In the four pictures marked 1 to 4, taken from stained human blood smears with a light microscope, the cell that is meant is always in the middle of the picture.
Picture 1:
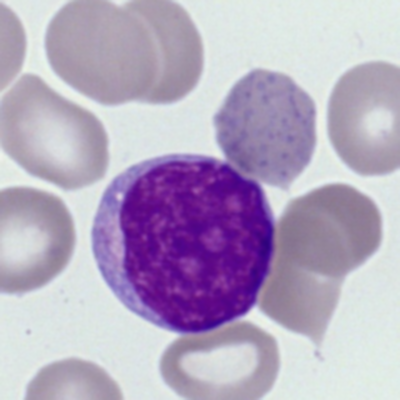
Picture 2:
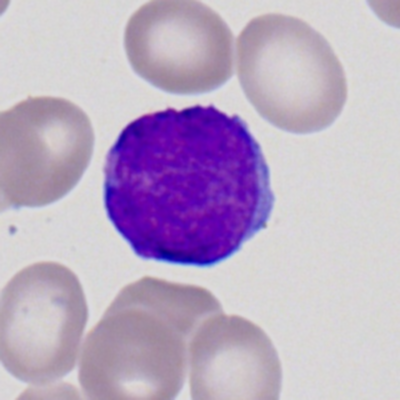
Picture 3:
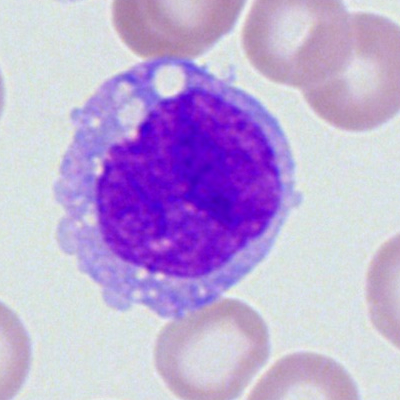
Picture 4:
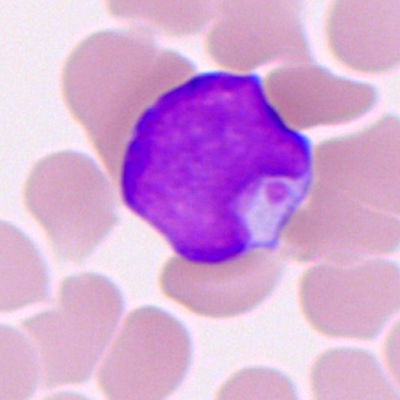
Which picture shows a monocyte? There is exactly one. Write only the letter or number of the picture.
3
